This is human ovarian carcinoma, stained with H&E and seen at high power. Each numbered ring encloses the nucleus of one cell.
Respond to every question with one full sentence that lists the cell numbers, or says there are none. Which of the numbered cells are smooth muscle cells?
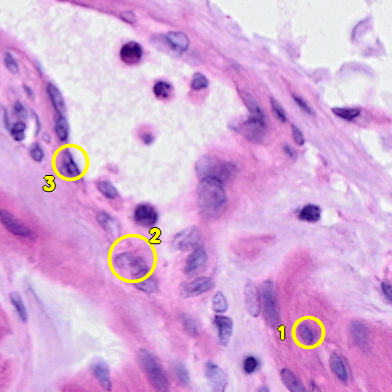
Only nucleus 1 belongs to a smooth muscle cell; the other numbered nuclei do not.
